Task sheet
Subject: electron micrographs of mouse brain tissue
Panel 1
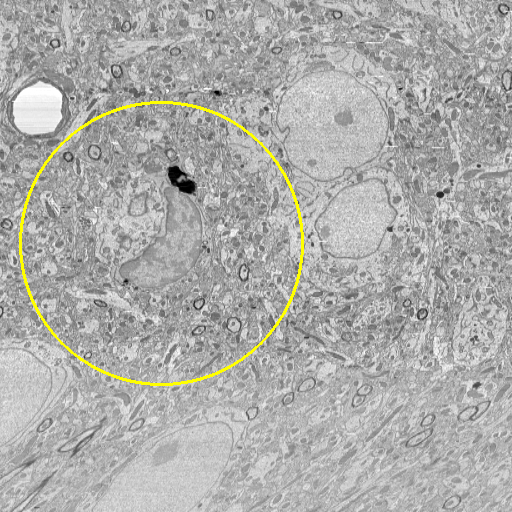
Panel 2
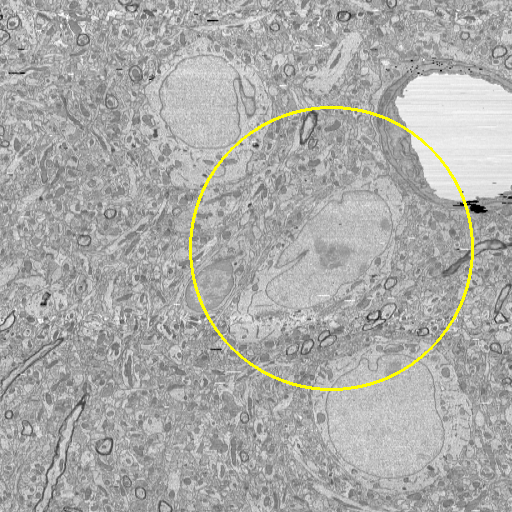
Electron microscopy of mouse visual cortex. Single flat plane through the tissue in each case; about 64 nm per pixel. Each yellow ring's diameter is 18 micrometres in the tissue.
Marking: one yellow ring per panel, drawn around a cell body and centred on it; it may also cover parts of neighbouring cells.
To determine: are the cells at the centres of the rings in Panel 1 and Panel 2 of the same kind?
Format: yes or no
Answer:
no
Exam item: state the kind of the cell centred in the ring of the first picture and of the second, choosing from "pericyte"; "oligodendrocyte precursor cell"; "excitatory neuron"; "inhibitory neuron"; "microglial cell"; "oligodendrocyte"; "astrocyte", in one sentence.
The first picture shows a microglial cell at the ring centre and the second shows an excitatory neuron.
